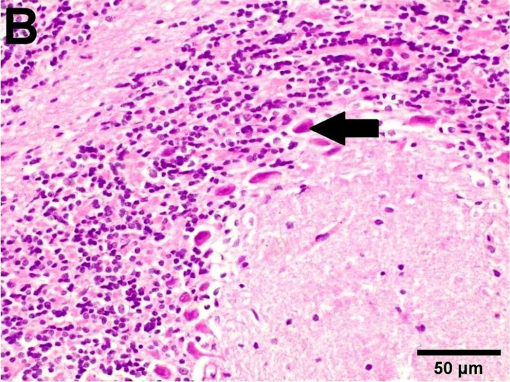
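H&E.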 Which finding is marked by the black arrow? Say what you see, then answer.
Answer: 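Pyknotic and shrunken Purkinje cells. The marked cell is small, angular and intensely pink. Several similar shrunken, deeply stained cells lie at the border between the dense nuclear layer and the pale layer. No large cells with pale round nuclei are seen along that border.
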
